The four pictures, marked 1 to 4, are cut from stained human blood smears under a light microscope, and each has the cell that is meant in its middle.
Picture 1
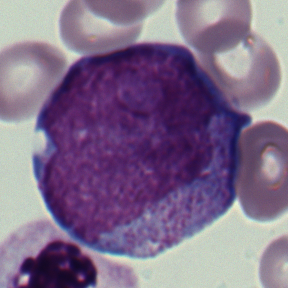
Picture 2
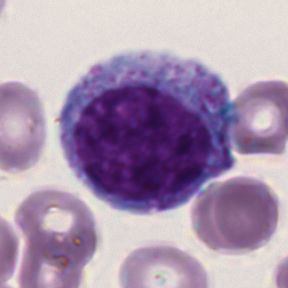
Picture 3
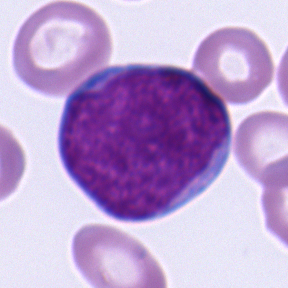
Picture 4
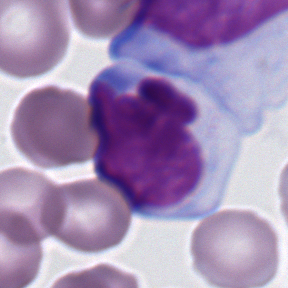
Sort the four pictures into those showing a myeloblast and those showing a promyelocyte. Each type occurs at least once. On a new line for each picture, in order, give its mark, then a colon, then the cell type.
1: promyelocyte
2: promyelocyte
3: myeloblast
4: myeloblast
